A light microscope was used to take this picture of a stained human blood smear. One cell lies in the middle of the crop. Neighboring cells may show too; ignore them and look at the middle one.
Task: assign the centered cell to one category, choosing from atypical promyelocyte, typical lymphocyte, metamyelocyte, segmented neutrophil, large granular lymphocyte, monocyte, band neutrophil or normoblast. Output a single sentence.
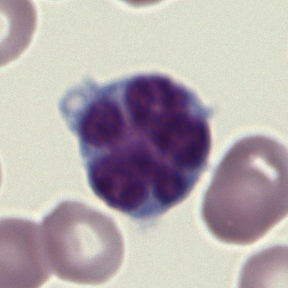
The cell of interest, in the center, is a monocyte.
